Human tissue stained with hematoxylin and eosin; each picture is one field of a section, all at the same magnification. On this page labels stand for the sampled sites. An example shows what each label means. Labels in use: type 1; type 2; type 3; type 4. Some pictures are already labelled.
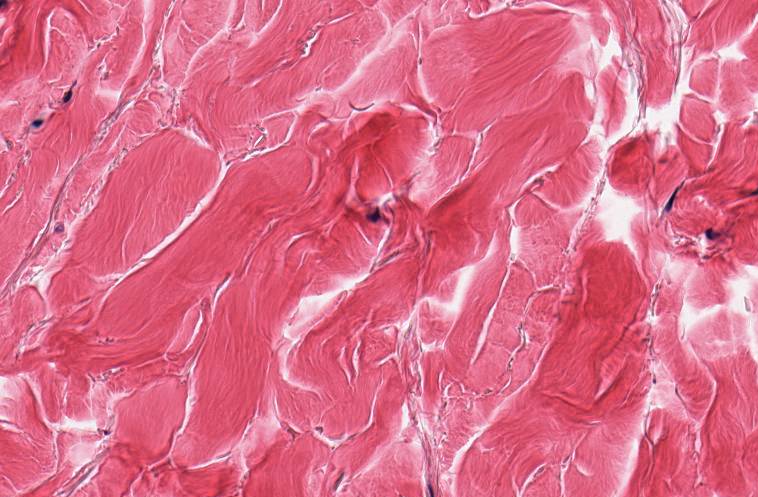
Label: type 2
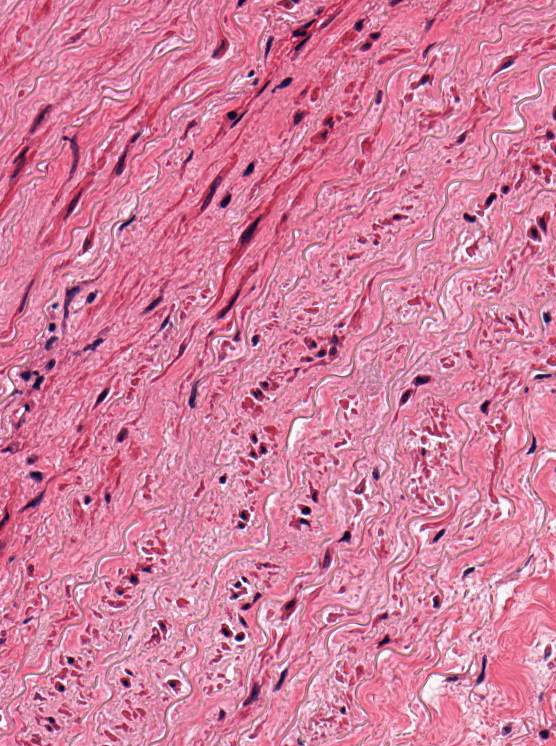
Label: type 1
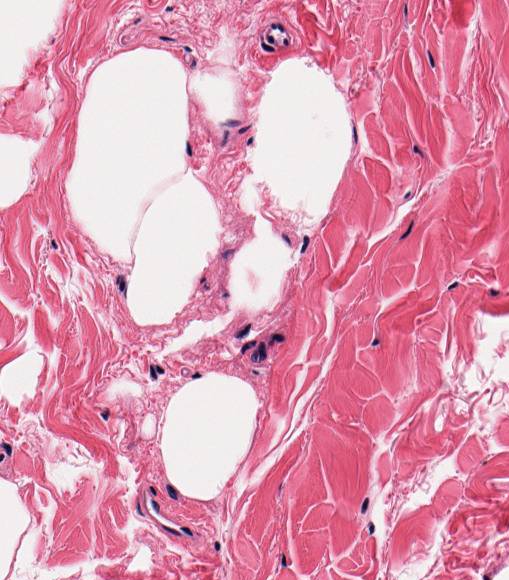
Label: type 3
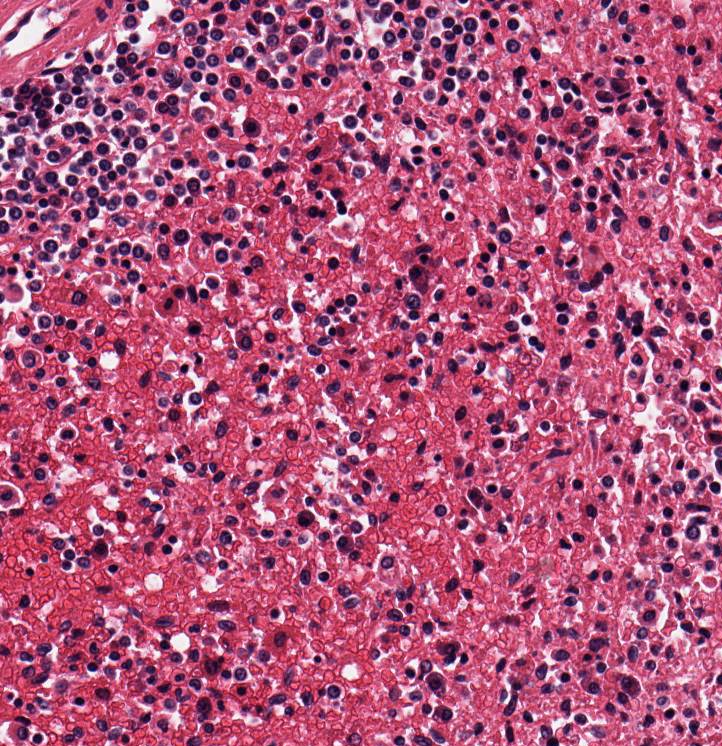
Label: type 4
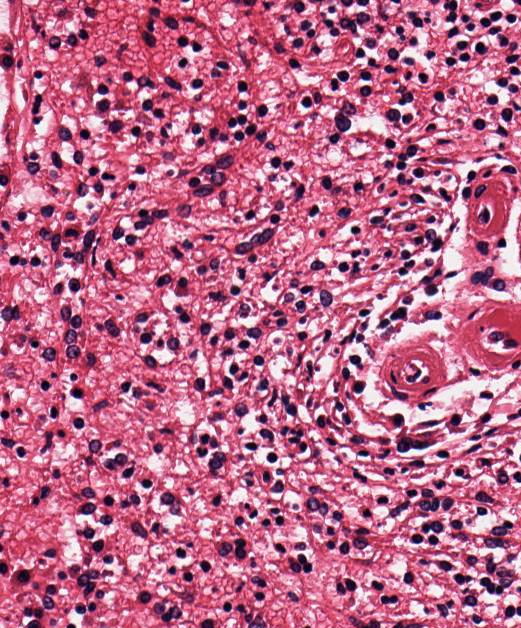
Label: type 4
